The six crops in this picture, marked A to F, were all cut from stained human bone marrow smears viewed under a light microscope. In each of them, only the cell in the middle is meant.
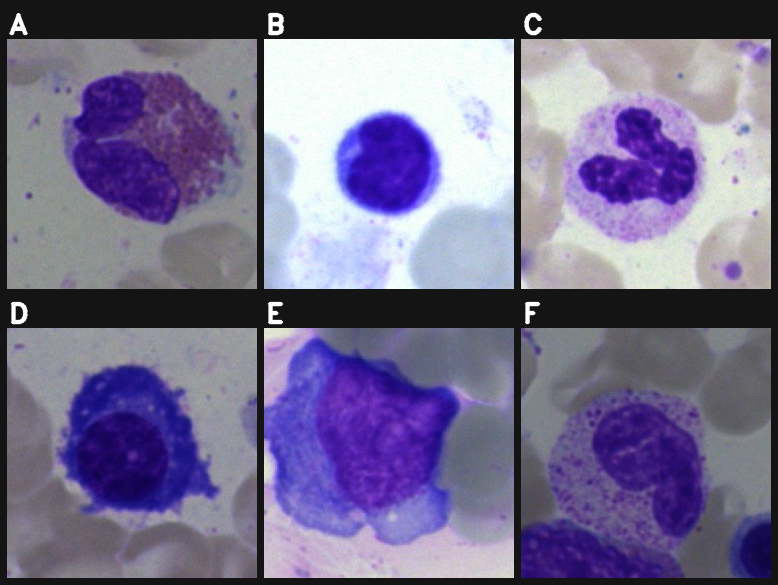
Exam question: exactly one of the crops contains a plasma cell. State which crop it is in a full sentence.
Of the labeled crops, the one with a plasma cell is crop D.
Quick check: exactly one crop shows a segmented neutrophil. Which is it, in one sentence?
Crop C, and no other, is the one that shows a segmented neutrophil.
